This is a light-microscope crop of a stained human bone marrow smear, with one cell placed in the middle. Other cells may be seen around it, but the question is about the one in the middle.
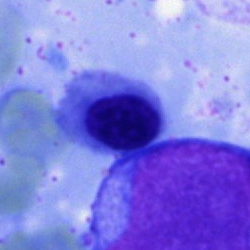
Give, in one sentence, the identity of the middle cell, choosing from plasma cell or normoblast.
By type, the central cell of the crop is a normoblast.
